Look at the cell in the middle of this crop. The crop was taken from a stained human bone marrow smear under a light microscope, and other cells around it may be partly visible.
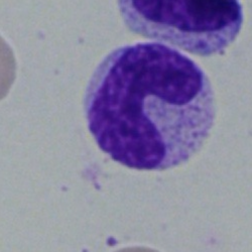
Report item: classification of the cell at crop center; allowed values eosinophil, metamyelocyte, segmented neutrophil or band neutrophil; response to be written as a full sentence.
At the center of the crop sits a band neutrophil.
